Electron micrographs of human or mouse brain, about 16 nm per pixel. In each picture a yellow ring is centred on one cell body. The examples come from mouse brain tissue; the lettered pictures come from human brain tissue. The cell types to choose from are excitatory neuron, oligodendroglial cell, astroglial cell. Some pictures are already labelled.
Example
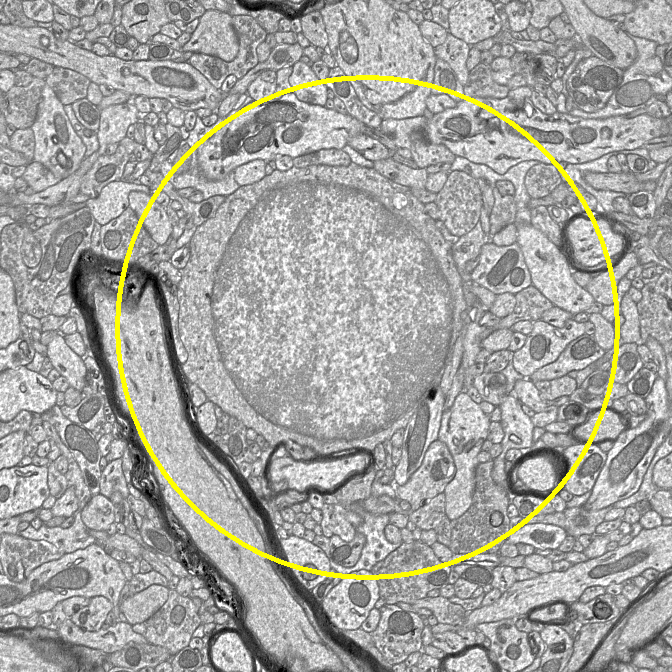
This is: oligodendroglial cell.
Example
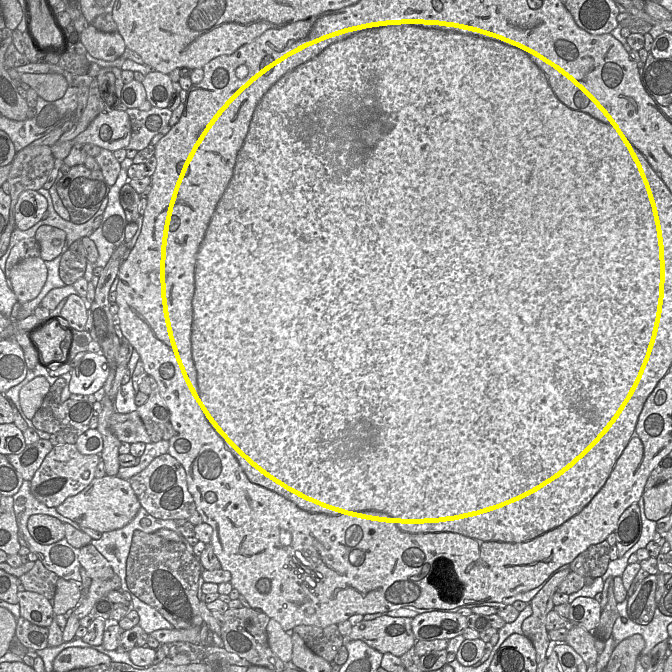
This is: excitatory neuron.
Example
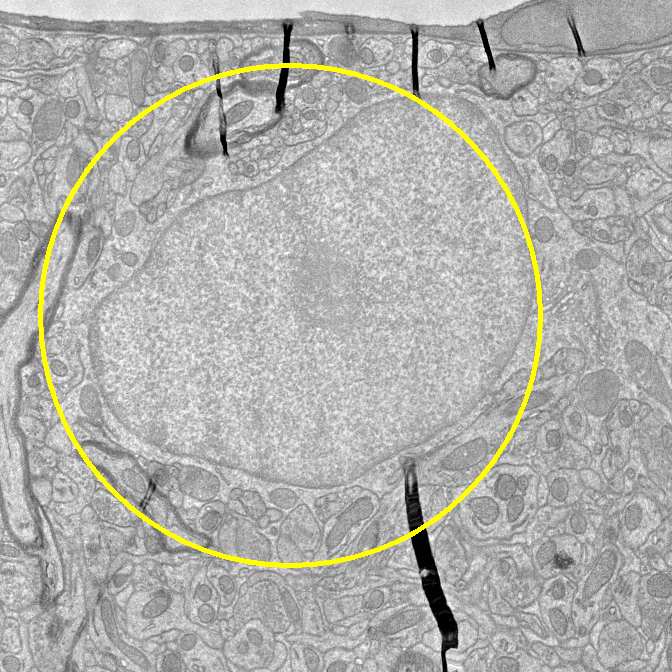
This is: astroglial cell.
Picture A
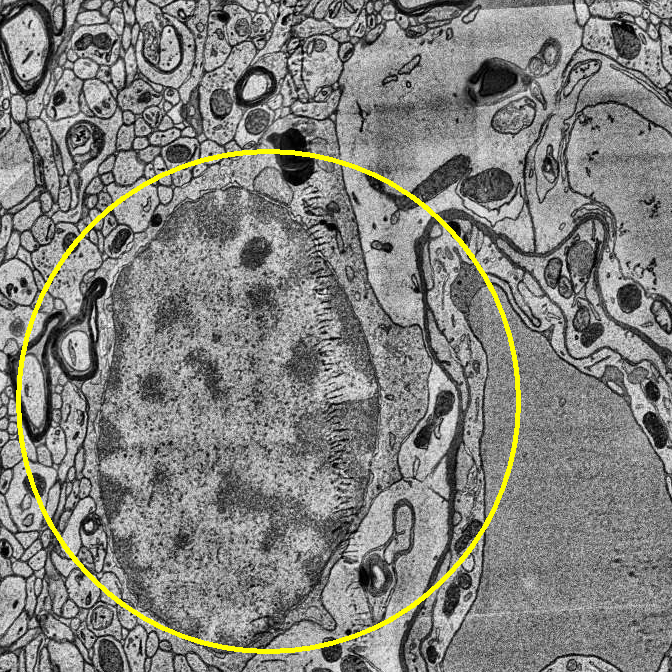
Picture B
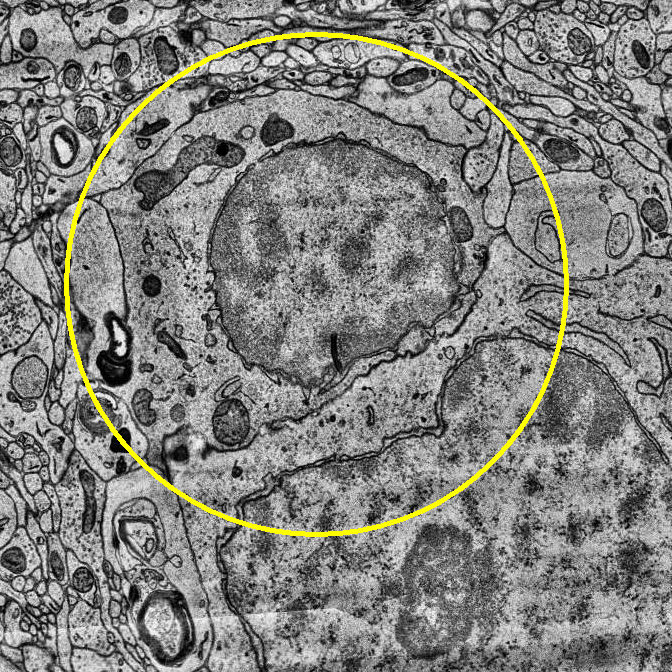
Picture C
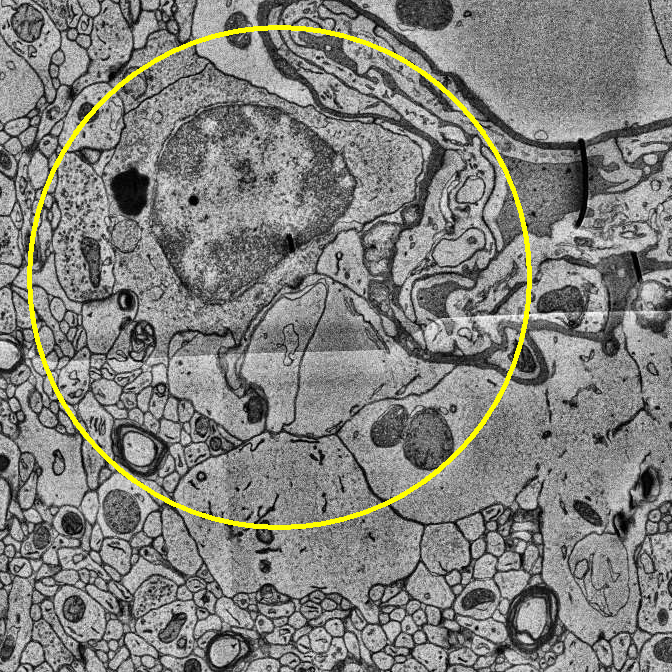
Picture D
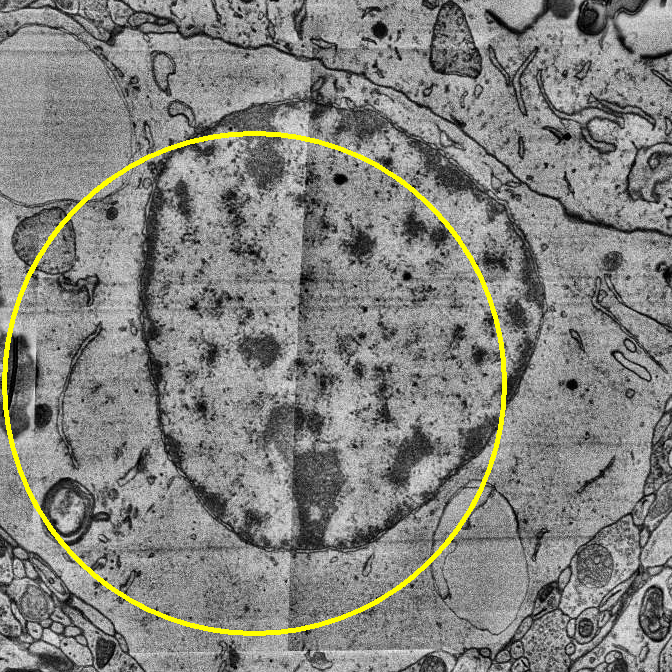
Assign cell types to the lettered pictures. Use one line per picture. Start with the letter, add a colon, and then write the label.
A: oligodendroglial cell.
B: oligodendroglial cell.
C: oligodendroglial cell.
D: astroglial cell.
